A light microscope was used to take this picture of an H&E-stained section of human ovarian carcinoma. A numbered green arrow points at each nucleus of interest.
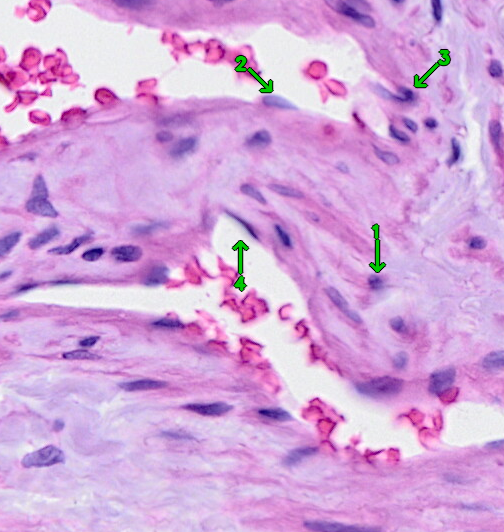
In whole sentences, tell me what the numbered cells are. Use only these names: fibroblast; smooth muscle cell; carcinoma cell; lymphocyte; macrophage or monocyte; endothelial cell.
Cell 1 is a smooth muscle cell. Cells 2, 3 and 4 are endothelial cells.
